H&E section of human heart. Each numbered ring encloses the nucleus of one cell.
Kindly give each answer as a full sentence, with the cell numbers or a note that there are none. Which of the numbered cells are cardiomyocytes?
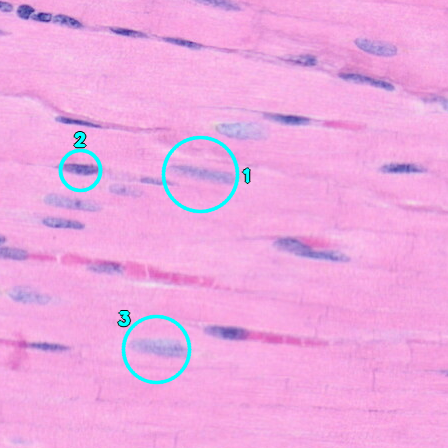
Within this tissue, the cells numbered 1 and 3 are cardiomyocytes.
